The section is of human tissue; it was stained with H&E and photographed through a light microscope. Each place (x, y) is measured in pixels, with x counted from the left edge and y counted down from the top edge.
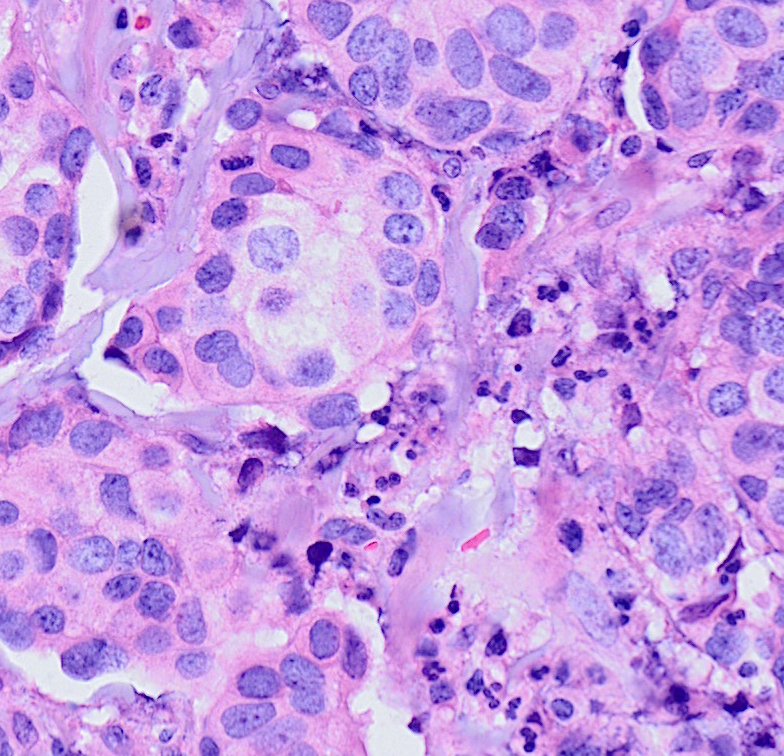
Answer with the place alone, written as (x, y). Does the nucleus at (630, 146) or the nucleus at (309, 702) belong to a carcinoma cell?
(309, 702)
